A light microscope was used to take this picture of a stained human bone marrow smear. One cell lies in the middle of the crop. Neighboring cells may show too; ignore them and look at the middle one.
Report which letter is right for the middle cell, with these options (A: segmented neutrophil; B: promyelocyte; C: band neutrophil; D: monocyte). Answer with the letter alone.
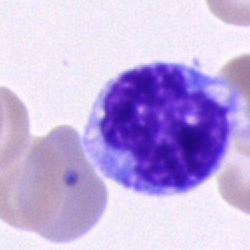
D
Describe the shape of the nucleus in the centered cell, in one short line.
A single compact nucleus, round, oval or kidney-shaped, is what this cell shows.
